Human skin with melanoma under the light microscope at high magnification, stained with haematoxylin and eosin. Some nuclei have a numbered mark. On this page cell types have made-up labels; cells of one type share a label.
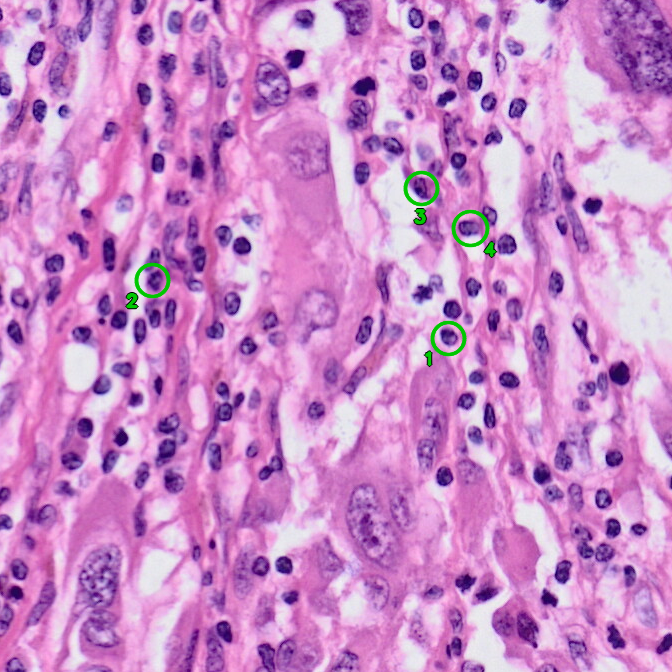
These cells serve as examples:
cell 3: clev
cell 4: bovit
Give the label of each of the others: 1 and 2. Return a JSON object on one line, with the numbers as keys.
{"1": "bovit", "2": "clev"}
